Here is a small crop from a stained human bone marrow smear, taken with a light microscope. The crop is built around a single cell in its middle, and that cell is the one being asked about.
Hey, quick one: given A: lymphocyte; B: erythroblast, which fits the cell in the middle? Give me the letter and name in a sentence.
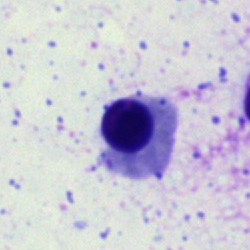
Option B stands as correct, the central cell being an erythroblast.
